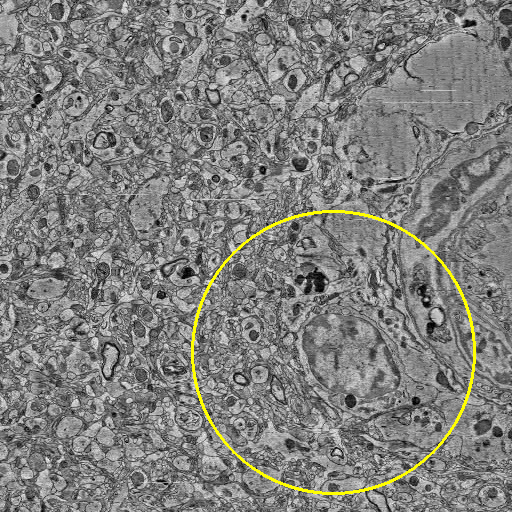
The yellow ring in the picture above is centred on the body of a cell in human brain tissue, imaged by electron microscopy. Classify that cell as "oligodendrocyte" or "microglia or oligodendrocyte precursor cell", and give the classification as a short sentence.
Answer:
The cell in the middle of the ring is a microglial cell or oligodendrocyte precursor cell.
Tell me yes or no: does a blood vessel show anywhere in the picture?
Yes, there is a blood vessel in the image.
